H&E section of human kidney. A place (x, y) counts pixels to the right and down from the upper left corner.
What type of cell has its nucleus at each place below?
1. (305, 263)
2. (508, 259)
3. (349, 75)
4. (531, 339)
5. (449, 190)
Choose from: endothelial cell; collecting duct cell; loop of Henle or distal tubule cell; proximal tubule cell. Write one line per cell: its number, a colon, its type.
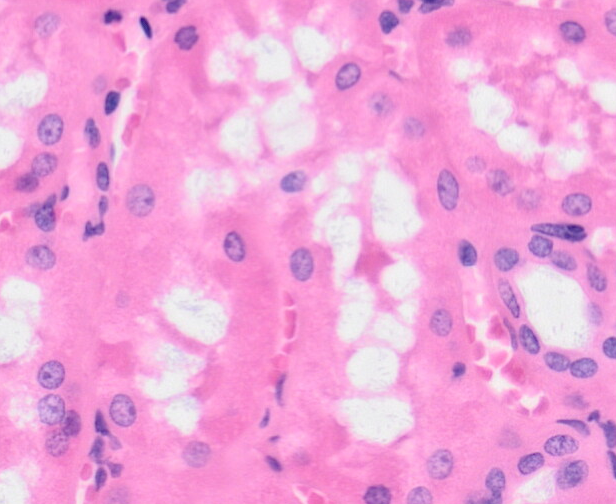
1: proximal tubule cell
2: collecting duct cell
3: proximal tubule cell
4: collecting duct cell
5: proximal tubule cell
